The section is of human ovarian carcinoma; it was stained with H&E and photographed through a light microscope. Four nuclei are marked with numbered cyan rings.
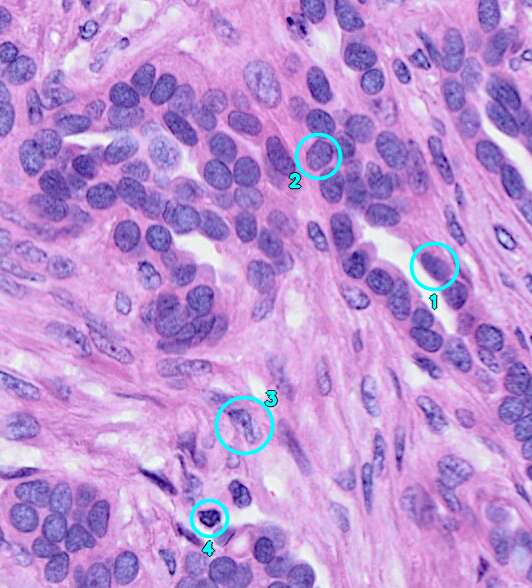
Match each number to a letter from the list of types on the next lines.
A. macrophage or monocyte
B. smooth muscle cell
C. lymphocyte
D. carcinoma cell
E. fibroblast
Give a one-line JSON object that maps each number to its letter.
{"1": "D", "2": "D", "3": "E", "4": "C"}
